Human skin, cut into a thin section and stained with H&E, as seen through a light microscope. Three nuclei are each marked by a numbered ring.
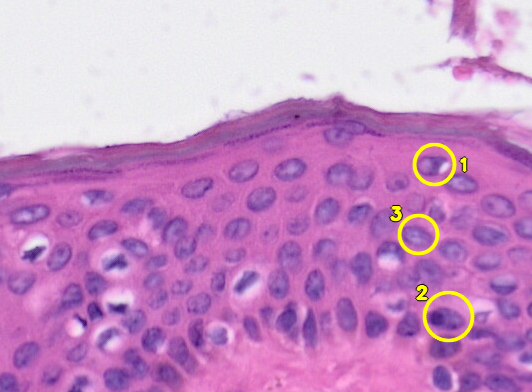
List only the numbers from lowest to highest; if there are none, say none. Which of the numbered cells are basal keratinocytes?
2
